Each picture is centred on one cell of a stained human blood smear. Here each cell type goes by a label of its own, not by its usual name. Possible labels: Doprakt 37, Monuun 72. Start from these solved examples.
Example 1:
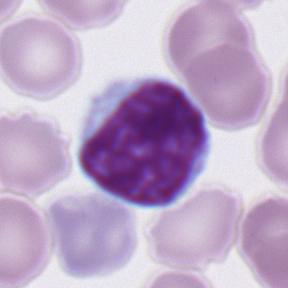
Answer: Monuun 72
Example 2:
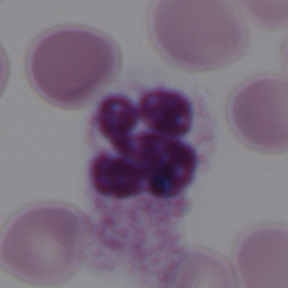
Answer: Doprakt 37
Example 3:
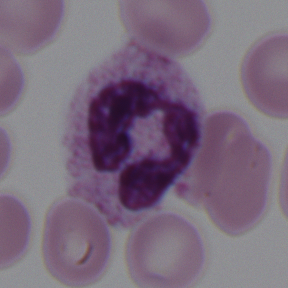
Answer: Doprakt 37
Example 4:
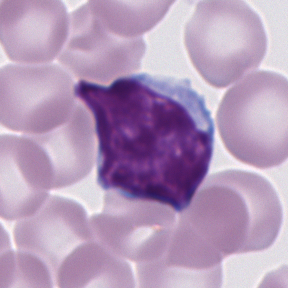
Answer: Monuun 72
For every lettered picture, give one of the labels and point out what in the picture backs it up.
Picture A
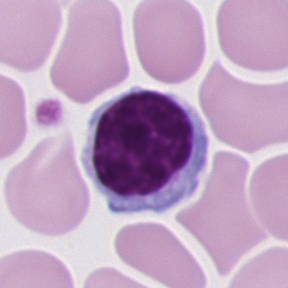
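Monuun 72: The cytoplasm is a scant, pale blue rim around the nucleus.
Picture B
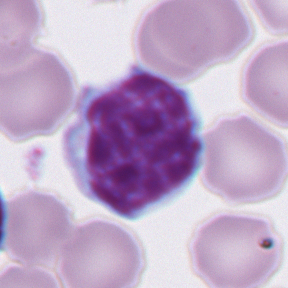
Monuun 72: The nucleus is a single unlobed mass that fills most of the cell.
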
